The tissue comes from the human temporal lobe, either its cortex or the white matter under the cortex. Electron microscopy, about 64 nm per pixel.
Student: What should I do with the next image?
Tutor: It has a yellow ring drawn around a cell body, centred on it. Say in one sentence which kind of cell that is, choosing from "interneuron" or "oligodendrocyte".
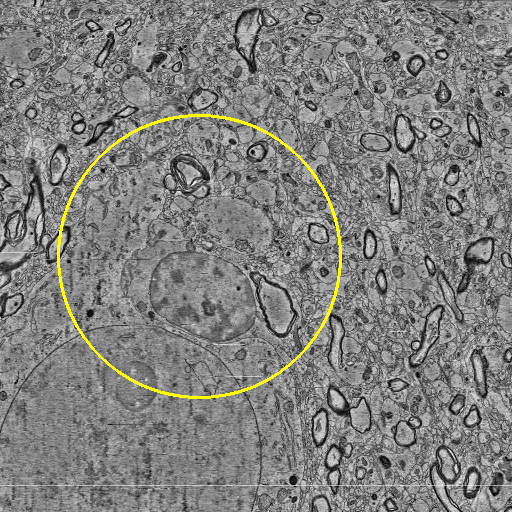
The ring's centre is occupied by an oligodendrocyte.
